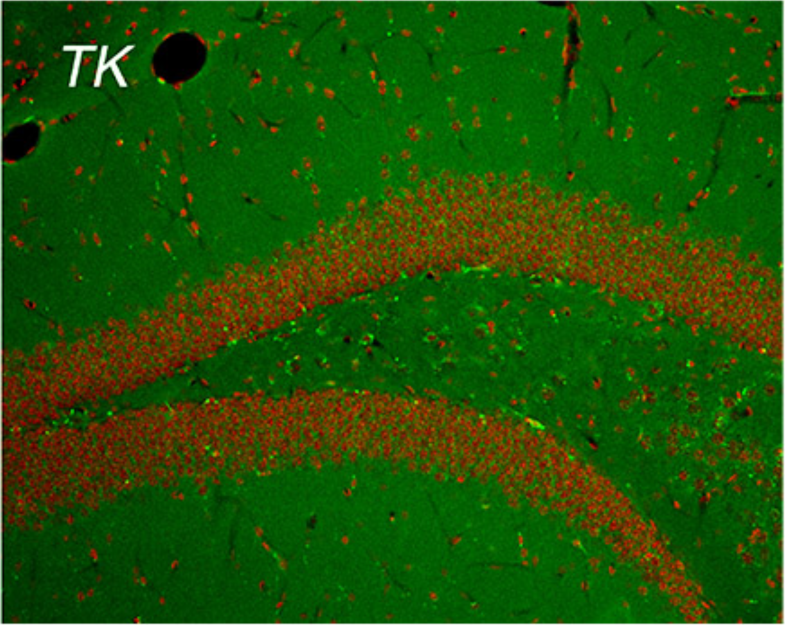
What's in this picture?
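The granule cell layer forms two curved blades of densely packed small round red nuclei, joined at one end. The tissue between and around the blades shows uniform diffuse green background with scattered red nuclei, and several dark round vessel profiles appear in the upper part of the field.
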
